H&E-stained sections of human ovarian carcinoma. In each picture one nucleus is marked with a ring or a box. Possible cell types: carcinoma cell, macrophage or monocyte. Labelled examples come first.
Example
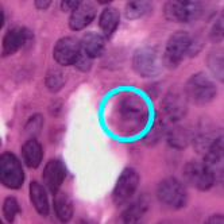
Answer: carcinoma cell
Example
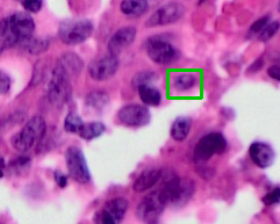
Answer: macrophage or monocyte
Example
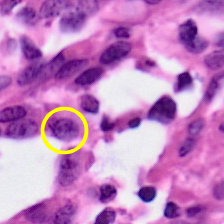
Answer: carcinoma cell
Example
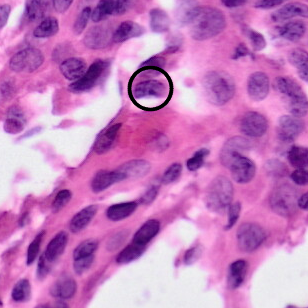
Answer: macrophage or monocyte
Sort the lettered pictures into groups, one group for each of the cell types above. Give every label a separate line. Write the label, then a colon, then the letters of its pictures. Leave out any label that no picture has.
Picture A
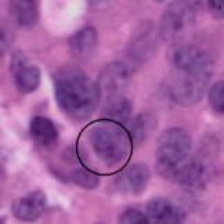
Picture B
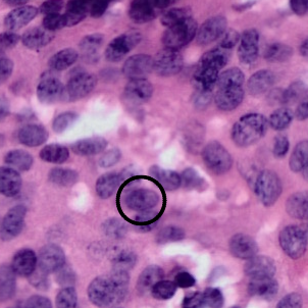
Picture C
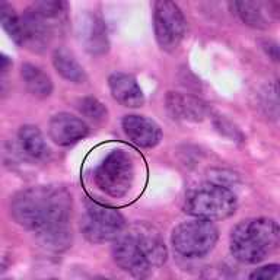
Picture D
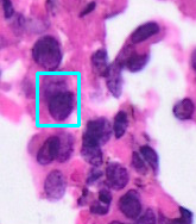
carcinoma cell: A, B, C, D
